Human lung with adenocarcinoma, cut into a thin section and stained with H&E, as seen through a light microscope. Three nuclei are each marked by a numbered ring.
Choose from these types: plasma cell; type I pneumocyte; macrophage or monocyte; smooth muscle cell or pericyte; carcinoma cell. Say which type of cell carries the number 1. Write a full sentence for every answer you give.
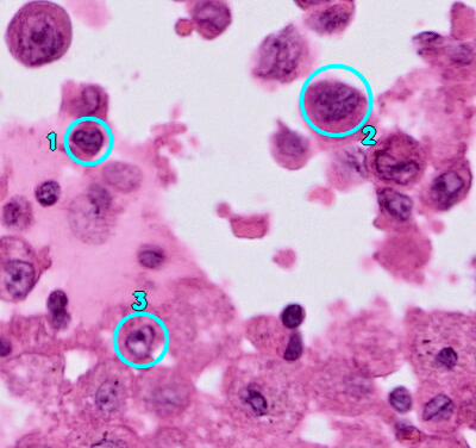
In the marked set, the cell given number 1 is a macrophage or monocyte.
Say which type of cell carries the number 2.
The nucleus marked 2 is the nucleus of a carcinoma cell.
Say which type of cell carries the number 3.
Cell 3, as marked in the section, is a macrophage or monocyte.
